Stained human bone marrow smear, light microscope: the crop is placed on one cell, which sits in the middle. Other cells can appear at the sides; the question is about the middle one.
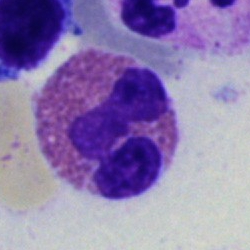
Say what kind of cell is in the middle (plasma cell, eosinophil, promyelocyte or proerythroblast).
eosinophil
